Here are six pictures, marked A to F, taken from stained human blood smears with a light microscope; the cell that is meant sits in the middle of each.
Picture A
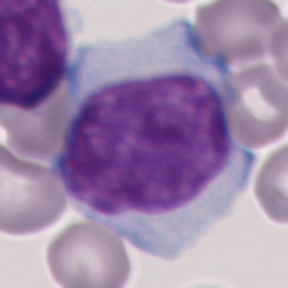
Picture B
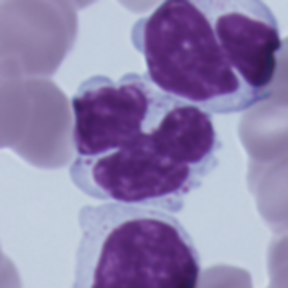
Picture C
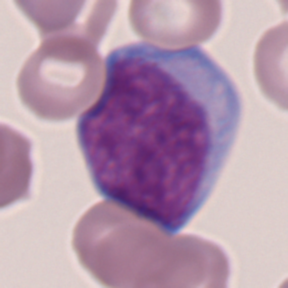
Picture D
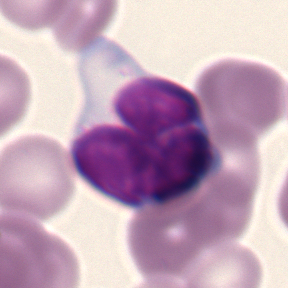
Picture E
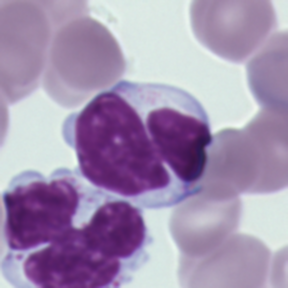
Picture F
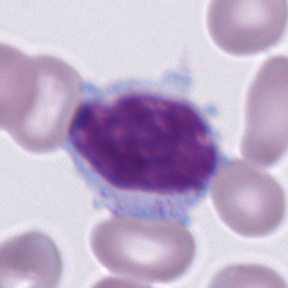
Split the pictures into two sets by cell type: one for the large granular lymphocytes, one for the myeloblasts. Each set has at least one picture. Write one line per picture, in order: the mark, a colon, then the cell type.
A: myeloblast
B: large granular lymphocyte
C: myeloblast
D: large granular lymphocyte
E: large granular lymphocyte
F: large granular lymphocyte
